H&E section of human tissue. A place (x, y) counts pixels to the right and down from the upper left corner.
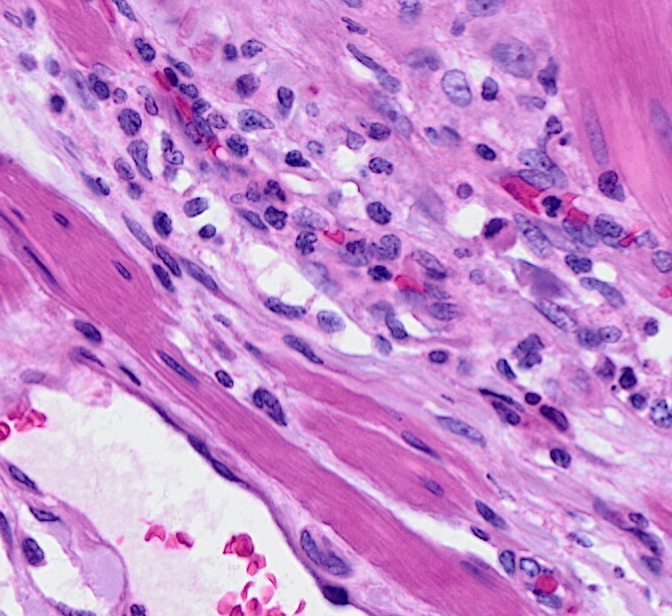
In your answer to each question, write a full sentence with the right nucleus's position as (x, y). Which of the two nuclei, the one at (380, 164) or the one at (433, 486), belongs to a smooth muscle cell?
The nucleus at (433, 486) is assigned to a smooth muscle cell.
